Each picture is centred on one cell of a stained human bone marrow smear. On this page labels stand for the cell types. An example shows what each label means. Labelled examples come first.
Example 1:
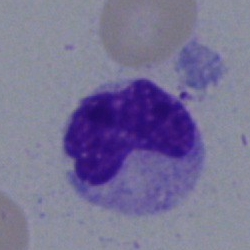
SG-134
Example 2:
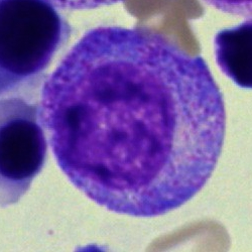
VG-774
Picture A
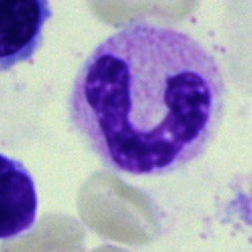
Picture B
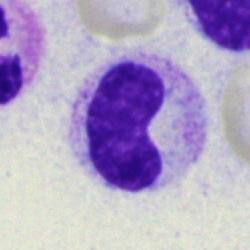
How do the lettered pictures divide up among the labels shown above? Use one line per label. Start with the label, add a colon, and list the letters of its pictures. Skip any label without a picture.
SG-134: A, B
